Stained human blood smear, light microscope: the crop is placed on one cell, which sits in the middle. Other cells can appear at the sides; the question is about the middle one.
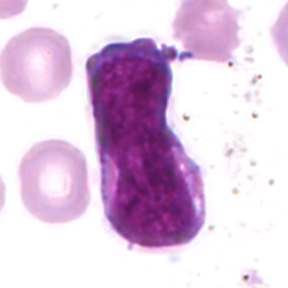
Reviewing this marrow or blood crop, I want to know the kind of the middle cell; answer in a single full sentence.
Seen at the centre of the crop is an atypical promyelocyte.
